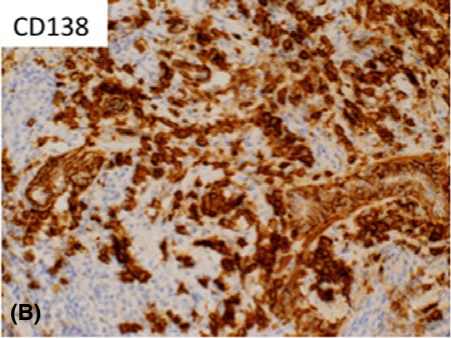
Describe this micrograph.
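The stroma is densely infiltrated by plasma cells, which appear as numerous round to oval cells with strong brown staining outlining their cell borders. They lie singly and in confluent sheets, crowding the space between epithelial structures. Elongated epithelial nests and strands also show brown staining of their cell membranes. Between the stained cells, blue nuclei of unstained stromal and inflammatory cells are visible.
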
